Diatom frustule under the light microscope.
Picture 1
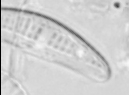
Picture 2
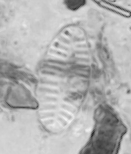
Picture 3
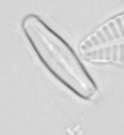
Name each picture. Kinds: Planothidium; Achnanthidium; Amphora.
(1) Amphora
(2) Planothidium
(3) Achnanthidium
